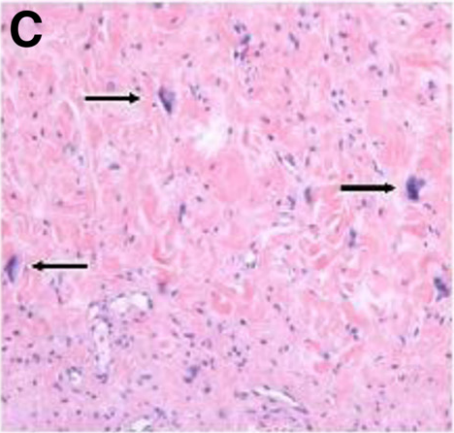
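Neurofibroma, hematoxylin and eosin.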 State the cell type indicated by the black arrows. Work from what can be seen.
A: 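The arrowed cells are larger than the surrounding spindle cells. Each arrowed cell has a dark purple cluster of nuclear material. The background is fairly uniform pink stroma with small nuclei. On this evidence: large multinucleated cells.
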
